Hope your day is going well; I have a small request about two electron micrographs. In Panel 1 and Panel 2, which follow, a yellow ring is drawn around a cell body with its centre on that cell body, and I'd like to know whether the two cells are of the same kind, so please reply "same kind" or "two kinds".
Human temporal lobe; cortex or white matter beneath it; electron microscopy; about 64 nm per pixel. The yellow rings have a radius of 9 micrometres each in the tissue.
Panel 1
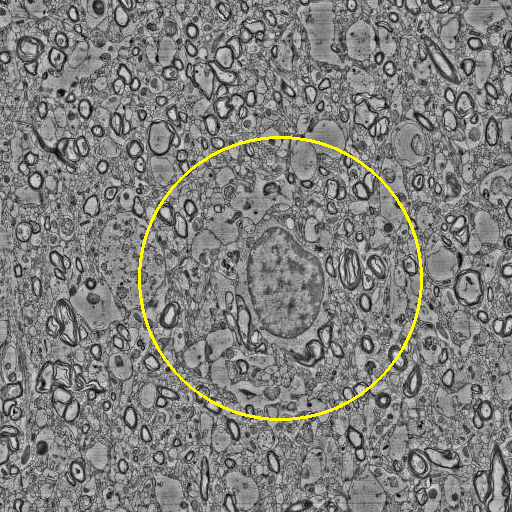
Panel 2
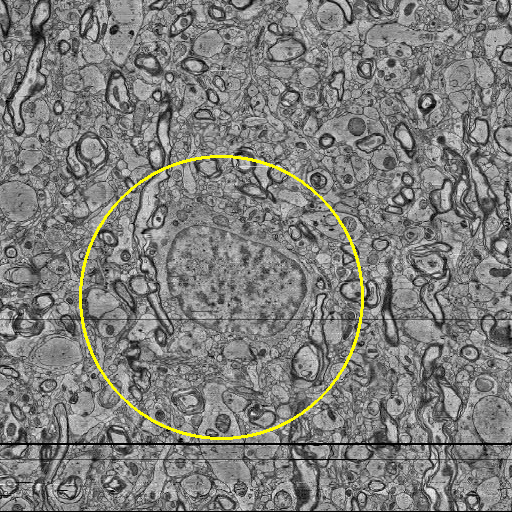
same kind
